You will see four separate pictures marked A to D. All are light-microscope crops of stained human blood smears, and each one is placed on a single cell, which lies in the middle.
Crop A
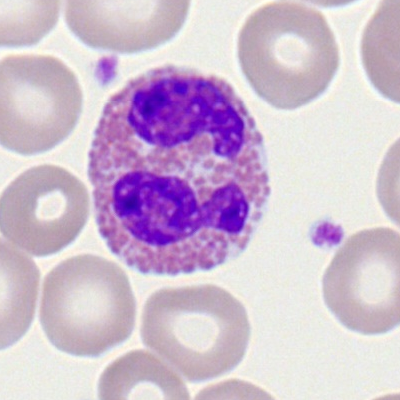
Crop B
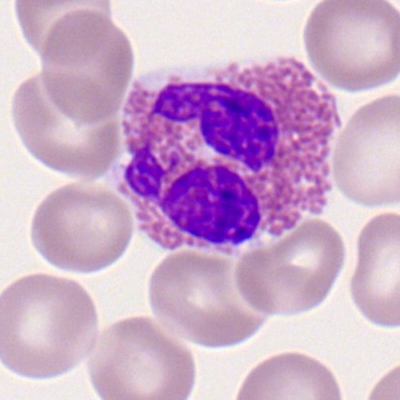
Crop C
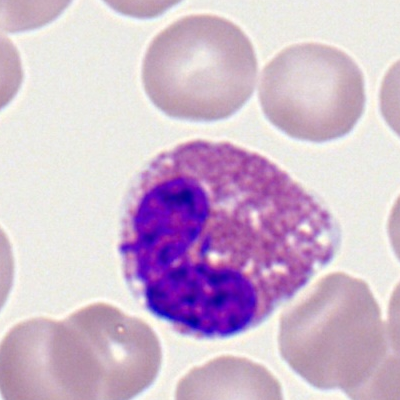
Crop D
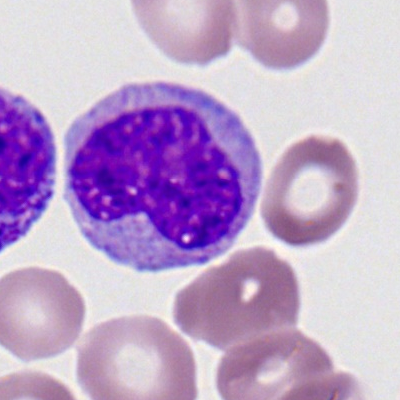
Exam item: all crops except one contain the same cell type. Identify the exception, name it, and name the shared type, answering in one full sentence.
Only one crop differs, namely crop D, which is a monocyte; the others show eosinophils.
